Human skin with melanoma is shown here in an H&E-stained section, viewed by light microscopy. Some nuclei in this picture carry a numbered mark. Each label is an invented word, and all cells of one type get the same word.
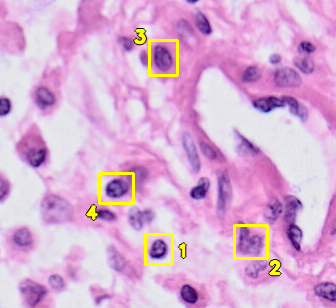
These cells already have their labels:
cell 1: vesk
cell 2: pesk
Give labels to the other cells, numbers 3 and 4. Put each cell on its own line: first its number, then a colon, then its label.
3: pesk
4: vesk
